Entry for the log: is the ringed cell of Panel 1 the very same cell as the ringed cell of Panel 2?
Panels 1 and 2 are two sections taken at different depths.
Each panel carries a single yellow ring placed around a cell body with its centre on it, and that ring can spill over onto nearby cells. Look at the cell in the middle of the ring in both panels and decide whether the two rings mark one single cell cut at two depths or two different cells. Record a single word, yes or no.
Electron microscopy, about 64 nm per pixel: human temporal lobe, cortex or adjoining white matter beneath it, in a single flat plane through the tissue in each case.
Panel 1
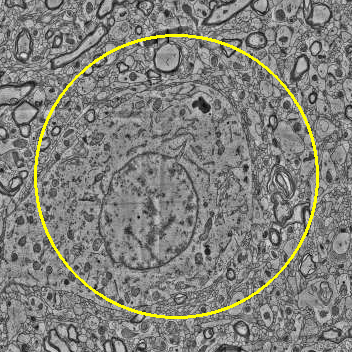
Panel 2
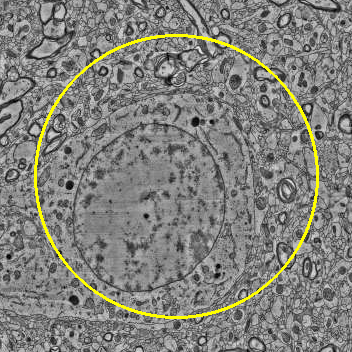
yes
